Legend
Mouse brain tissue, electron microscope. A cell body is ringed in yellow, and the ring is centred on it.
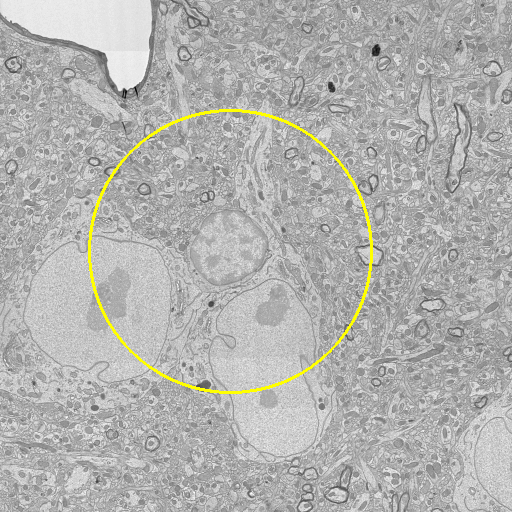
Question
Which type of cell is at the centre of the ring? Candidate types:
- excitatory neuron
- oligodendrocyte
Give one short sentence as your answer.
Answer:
The yellow ring is centred here on an oligodendrocyte.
